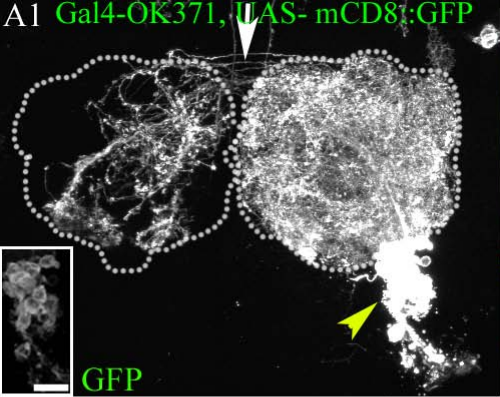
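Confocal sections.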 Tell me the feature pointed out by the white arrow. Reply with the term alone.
Commissural contralateral projections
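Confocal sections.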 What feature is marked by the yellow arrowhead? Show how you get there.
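A cluster of cells. A bright compact mass of rounded bodies lies below and lateral to the right outlined region. The mass is continuous with fibres entering the outlined region above.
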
